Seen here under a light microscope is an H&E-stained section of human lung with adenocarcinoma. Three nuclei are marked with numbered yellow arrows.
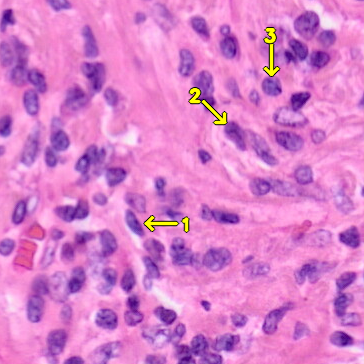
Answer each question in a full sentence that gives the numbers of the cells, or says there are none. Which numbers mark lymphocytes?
The cells bearing the numbers 1 and 3 are lymphocytes.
